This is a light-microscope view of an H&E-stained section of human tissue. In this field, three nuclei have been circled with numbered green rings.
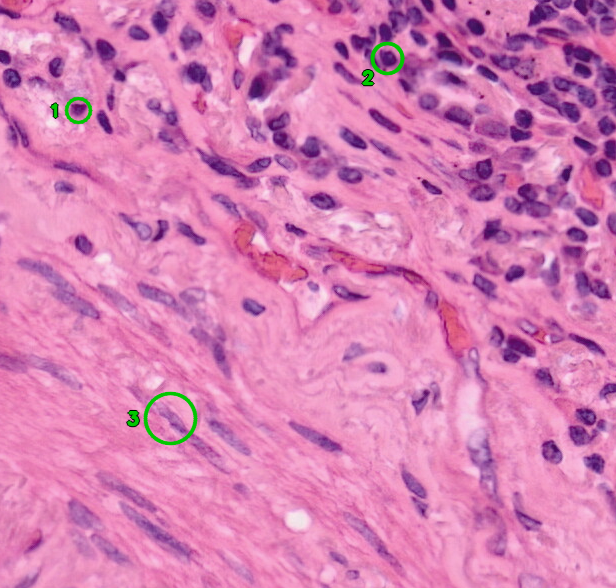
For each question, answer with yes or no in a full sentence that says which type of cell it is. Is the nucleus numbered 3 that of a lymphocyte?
No, cell 3 is not a lymphocyte, but is instead a smooth muscle cell or pericyte.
